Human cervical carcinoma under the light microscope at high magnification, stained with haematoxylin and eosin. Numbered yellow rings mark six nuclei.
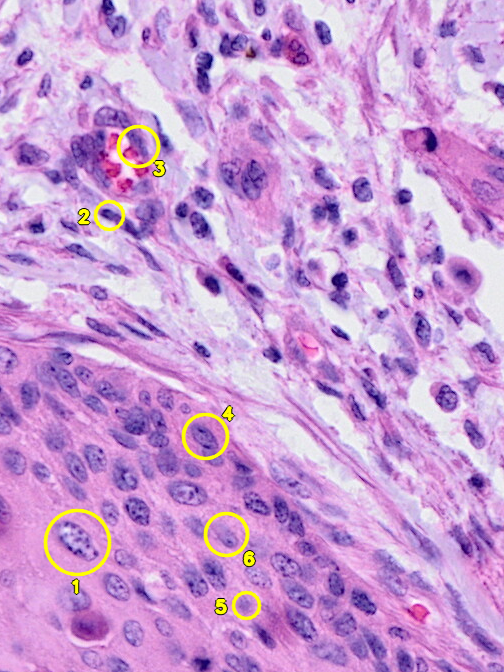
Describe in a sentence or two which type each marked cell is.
Cell 1 is a squamous carcinoma cell, cell 2 is a lymphocyte, cell 3 is an endothelial cell, cell 4 is a squamous carcinoma cell, cell 5 is a squamous carcinoma cell and cell 6 is a squamous carcinoma cell.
